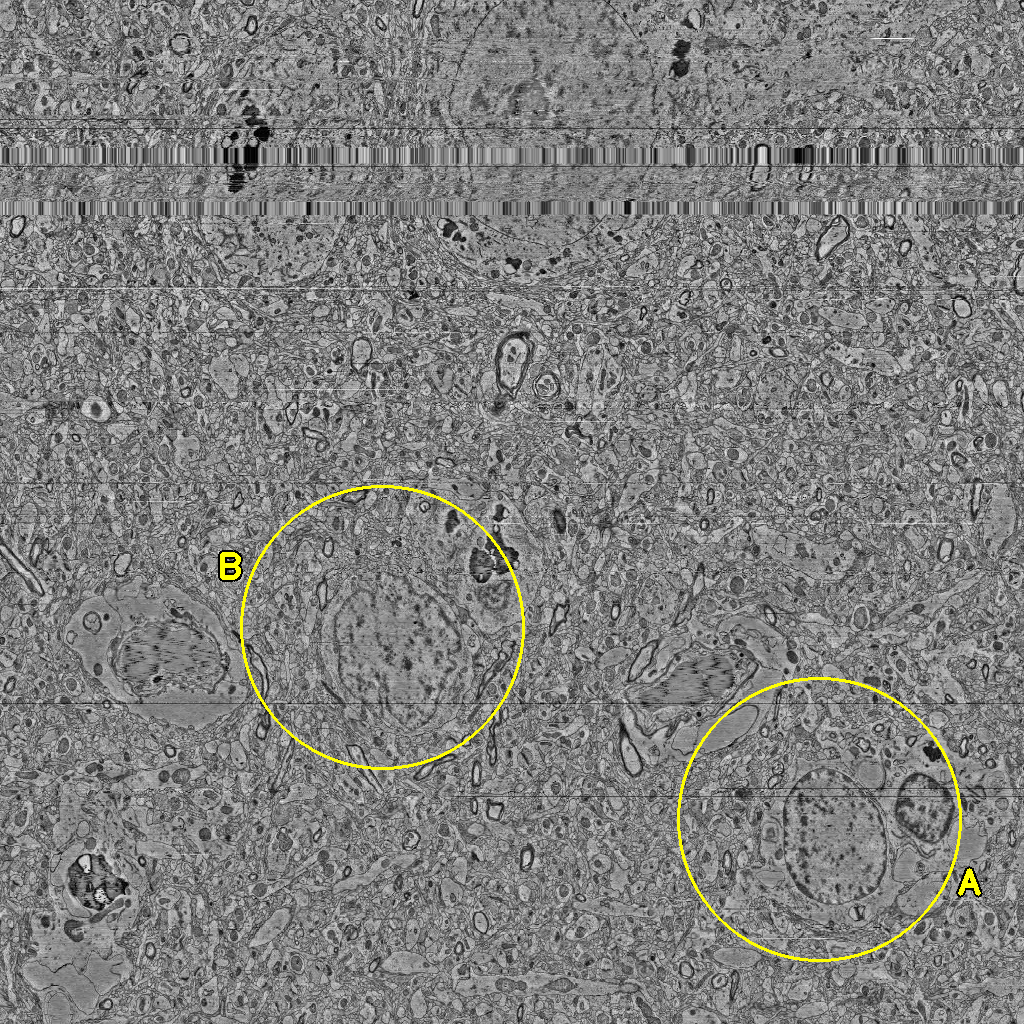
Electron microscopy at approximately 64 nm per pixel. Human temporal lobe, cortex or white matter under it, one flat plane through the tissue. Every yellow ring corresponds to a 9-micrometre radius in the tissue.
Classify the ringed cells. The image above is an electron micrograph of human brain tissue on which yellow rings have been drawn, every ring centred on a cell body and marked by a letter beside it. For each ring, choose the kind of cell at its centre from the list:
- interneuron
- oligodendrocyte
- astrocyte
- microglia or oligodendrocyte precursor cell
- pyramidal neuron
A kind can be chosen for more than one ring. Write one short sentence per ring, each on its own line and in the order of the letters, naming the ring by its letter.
Ring A is placed around an astrocyte.
Ring B is placed around an interneuron.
